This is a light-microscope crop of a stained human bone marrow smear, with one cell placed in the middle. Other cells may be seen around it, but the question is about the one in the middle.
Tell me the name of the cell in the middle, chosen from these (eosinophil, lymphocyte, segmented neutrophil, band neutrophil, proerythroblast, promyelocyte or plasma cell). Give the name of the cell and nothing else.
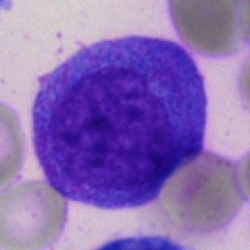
promyelocyte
